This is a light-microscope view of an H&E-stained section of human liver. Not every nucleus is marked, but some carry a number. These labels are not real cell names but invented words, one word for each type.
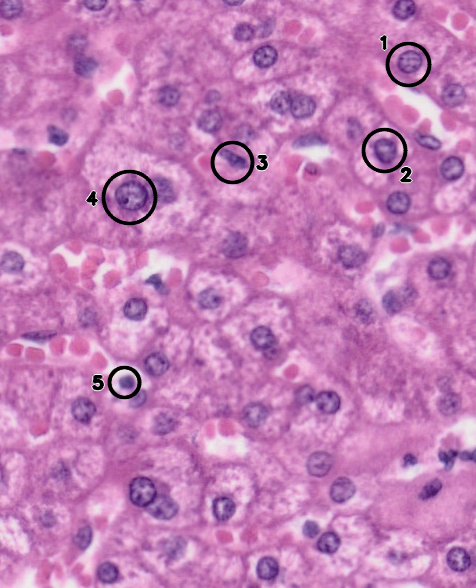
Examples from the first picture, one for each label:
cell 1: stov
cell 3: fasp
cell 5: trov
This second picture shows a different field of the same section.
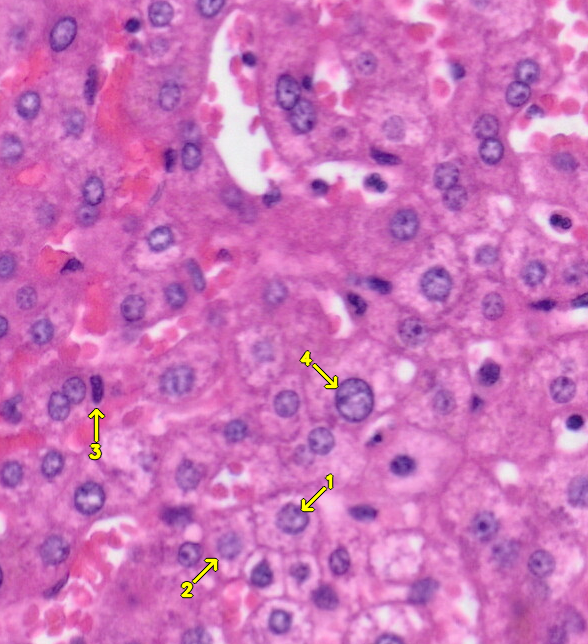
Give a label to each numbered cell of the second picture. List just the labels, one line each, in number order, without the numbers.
stov
stov
fasp
stov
